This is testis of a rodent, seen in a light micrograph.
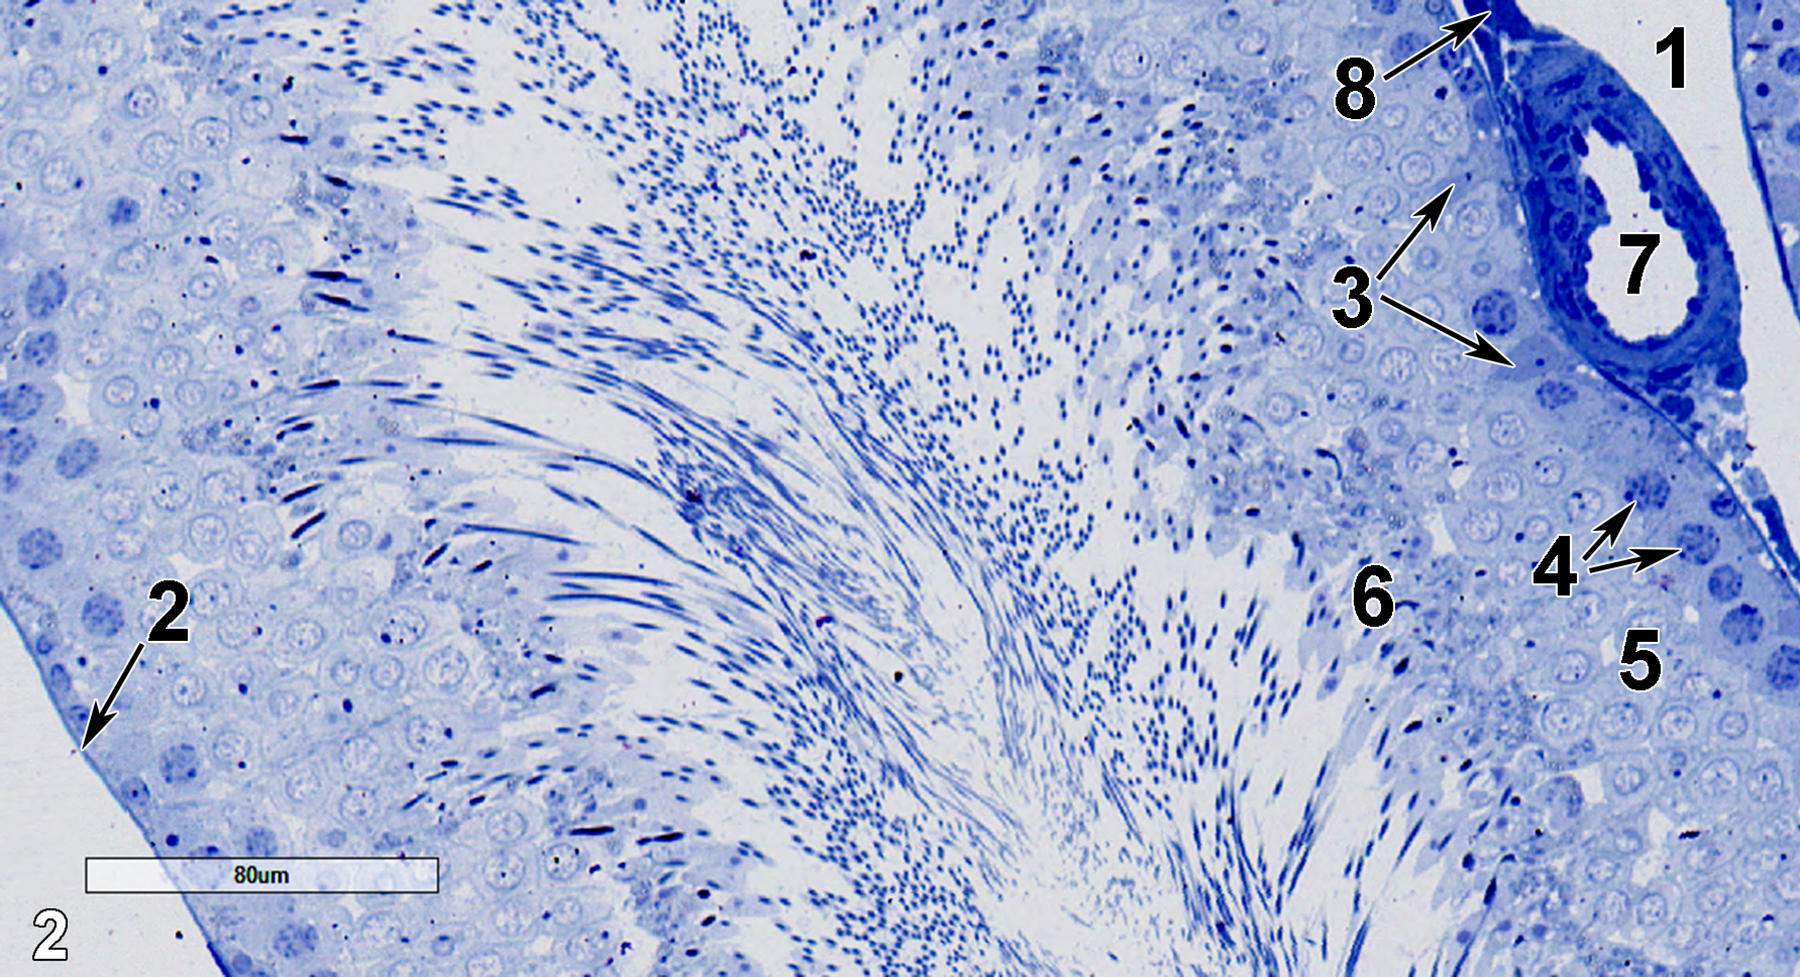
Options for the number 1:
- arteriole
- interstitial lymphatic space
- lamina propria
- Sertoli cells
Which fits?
interstitial lymphatic space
